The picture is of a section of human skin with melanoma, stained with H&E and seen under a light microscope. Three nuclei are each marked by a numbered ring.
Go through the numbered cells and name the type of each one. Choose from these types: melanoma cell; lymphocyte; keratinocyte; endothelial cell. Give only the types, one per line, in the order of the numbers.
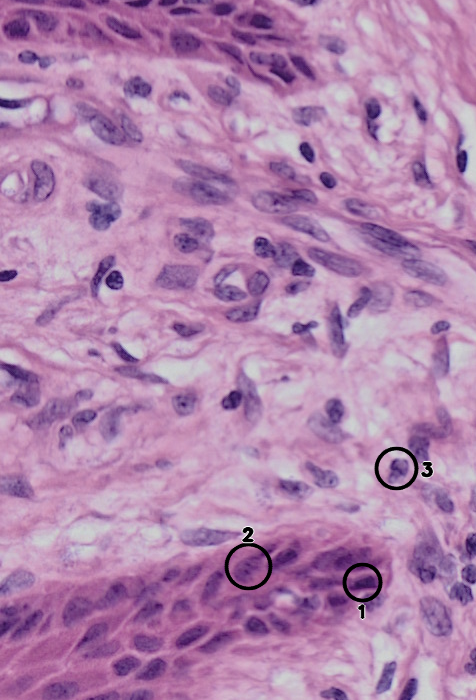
keratinocyte
keratinocyte
lymphocyte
